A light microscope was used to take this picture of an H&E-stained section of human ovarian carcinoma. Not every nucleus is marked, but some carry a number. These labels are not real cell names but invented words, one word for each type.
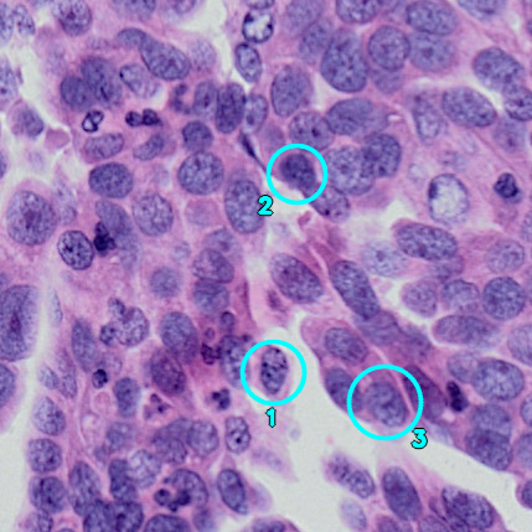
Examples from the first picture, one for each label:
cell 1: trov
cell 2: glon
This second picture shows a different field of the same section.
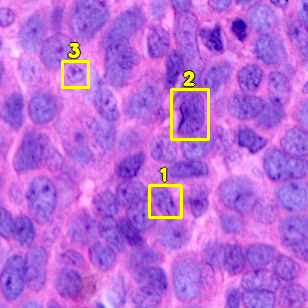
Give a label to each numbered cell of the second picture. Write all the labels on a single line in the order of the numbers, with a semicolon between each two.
glon; glon; trov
